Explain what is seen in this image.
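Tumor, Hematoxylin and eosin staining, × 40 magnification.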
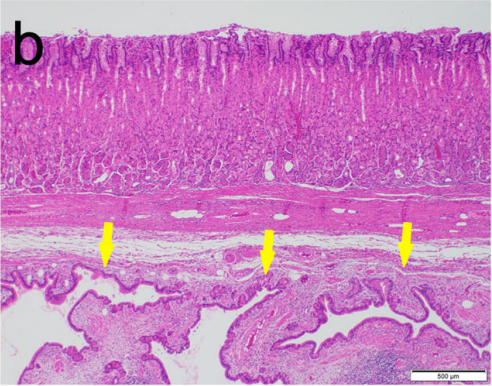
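The upper half shows a glandular mucosa with tall, closely packed glands running perpendicular to the surface, stained pink to purple. Beneath it runs a band of pink smooth muscle. Under that muscle lie large, irregular, dilated glandular spaces lined by a single layer of epithelium that forms folds projecting into the lumina. The stroma between these spaces is cellular and contains small vessels. These deep glands are far wider and more irregularly shaped than the orderly glands above.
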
